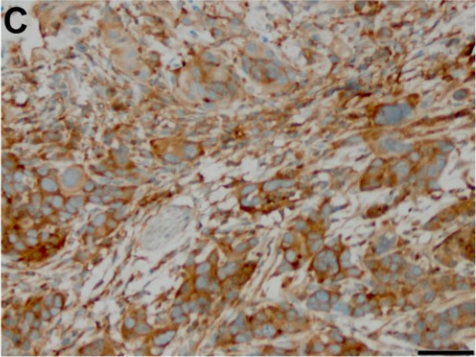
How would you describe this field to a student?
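Invasive cancer: nests and irregular cords of large polygonal epithelial tumour cells lie among spindle-shaped stromal cells. Stromal spindle cells between the nests are also brown-stained. No surface epithelial layering is present.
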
